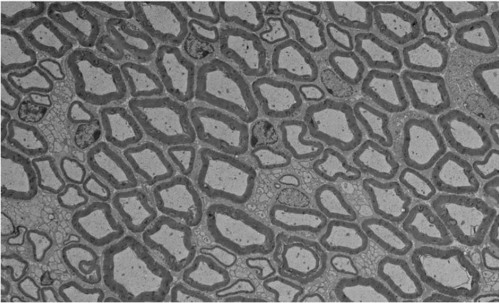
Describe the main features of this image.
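This cross-section of a peripheral nerve shows closely packed axons cut across, each pale interior enclosed by a thick, uniformly dark sheath, so these are myelinated axons. The profiles are rounded to angular and range from small to fairly large, with the sheath thickness broadly following axon size. In the narrow spaces between them lie groups of small pale profiles without sheaths and occasional cell bodies with dense nuclei. The sheaths appear compact and the overall arrangement is orderly.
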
